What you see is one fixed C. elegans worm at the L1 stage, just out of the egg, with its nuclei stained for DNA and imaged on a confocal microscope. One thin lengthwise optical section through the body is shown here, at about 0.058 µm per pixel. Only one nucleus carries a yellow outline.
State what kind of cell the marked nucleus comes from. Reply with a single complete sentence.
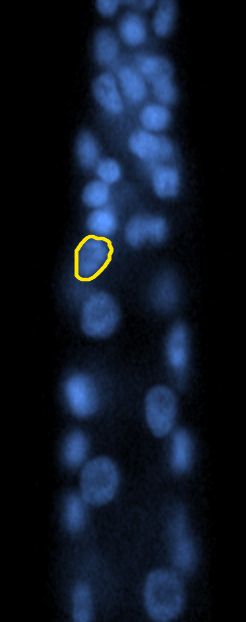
The marked cell is a neuron.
